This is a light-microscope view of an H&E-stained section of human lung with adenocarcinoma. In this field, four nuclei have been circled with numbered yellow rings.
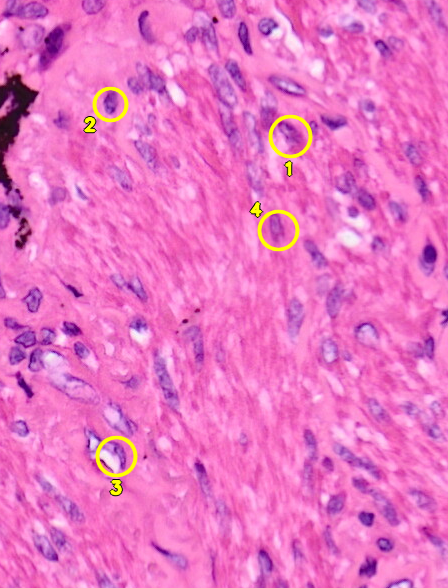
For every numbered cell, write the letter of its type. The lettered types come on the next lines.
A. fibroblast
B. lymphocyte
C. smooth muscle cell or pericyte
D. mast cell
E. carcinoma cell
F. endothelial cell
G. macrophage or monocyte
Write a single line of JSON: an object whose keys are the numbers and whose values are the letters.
{"1": "C", "2": "D", "3": "F", "4": "C"}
